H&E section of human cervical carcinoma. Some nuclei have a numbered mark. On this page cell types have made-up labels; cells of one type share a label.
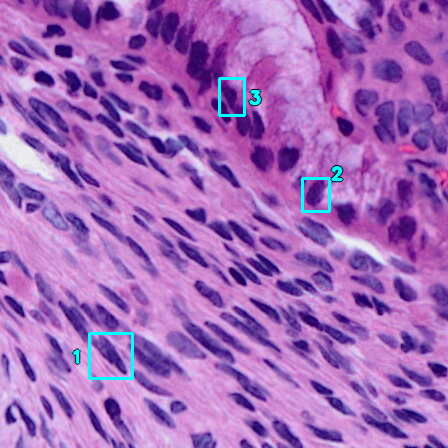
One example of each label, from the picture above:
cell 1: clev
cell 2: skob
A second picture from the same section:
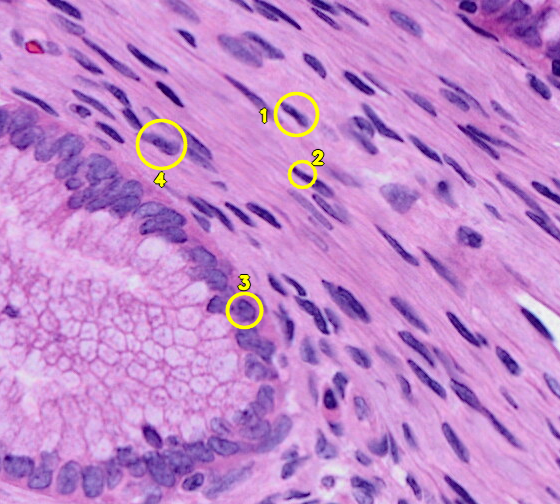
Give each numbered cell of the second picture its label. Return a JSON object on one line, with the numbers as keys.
{"1": "clev", "2": "clev", "3": "skob", "4": "clev"}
